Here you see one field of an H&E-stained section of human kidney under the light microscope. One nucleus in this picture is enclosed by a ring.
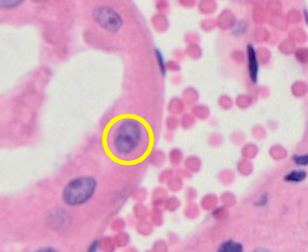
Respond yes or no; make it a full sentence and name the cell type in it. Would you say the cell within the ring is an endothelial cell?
No, the cell within the ring is a proximal tubule cell and should not be read as an endothelial cell.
